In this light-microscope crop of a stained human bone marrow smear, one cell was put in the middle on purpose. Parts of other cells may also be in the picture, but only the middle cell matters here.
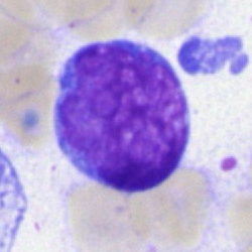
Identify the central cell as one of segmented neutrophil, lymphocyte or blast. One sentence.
The cell centered in this field of view is a blast.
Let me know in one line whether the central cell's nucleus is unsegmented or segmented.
See how the nucleus sits as one compact round, oval or kidney-shaped mass.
